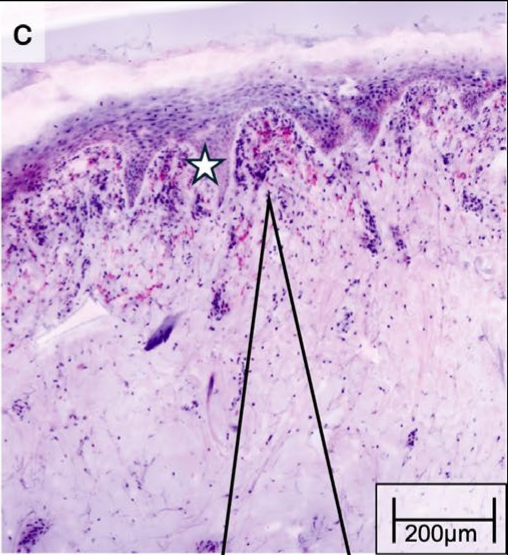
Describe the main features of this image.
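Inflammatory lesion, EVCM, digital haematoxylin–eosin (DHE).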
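Skin with an epidermis whose rete ridges are pointed and irregular, forming a jagged lower border, shown in purple and pink. Small red-pink dots are scattered in the upper dermis. The deeper dermis is pale and loose, with few scattered nuclei.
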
